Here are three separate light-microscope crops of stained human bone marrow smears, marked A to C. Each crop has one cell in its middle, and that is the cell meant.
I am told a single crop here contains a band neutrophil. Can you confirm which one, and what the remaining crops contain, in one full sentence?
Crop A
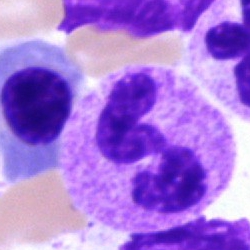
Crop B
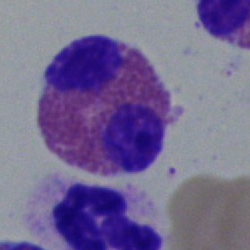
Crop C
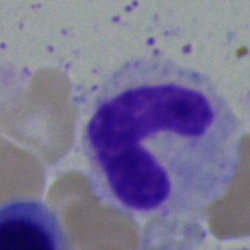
Crop C is showing a band neutrophil, while crop A is a segmented neutrophil and crop B is an eosinophil.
